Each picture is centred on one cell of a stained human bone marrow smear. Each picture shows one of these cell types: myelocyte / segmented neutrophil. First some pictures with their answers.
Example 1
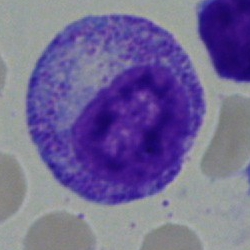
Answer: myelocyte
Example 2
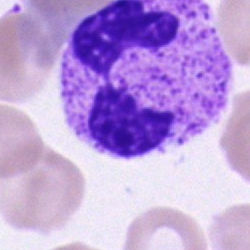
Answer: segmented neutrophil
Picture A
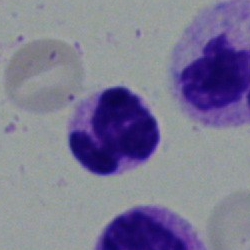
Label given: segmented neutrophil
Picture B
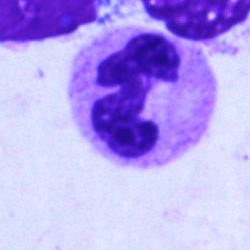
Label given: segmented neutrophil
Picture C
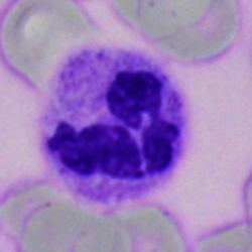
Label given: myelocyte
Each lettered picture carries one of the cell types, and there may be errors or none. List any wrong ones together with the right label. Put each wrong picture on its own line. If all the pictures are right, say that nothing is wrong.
C: change myelocyte to segmented neutrophil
